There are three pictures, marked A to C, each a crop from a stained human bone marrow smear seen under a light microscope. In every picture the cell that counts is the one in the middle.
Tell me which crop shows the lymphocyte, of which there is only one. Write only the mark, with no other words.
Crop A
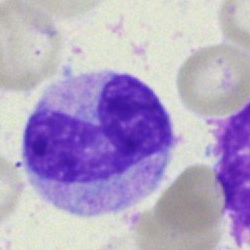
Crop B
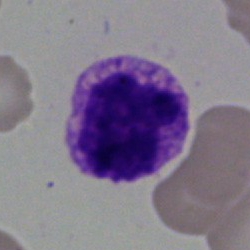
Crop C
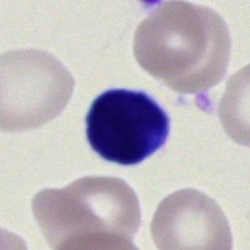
C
